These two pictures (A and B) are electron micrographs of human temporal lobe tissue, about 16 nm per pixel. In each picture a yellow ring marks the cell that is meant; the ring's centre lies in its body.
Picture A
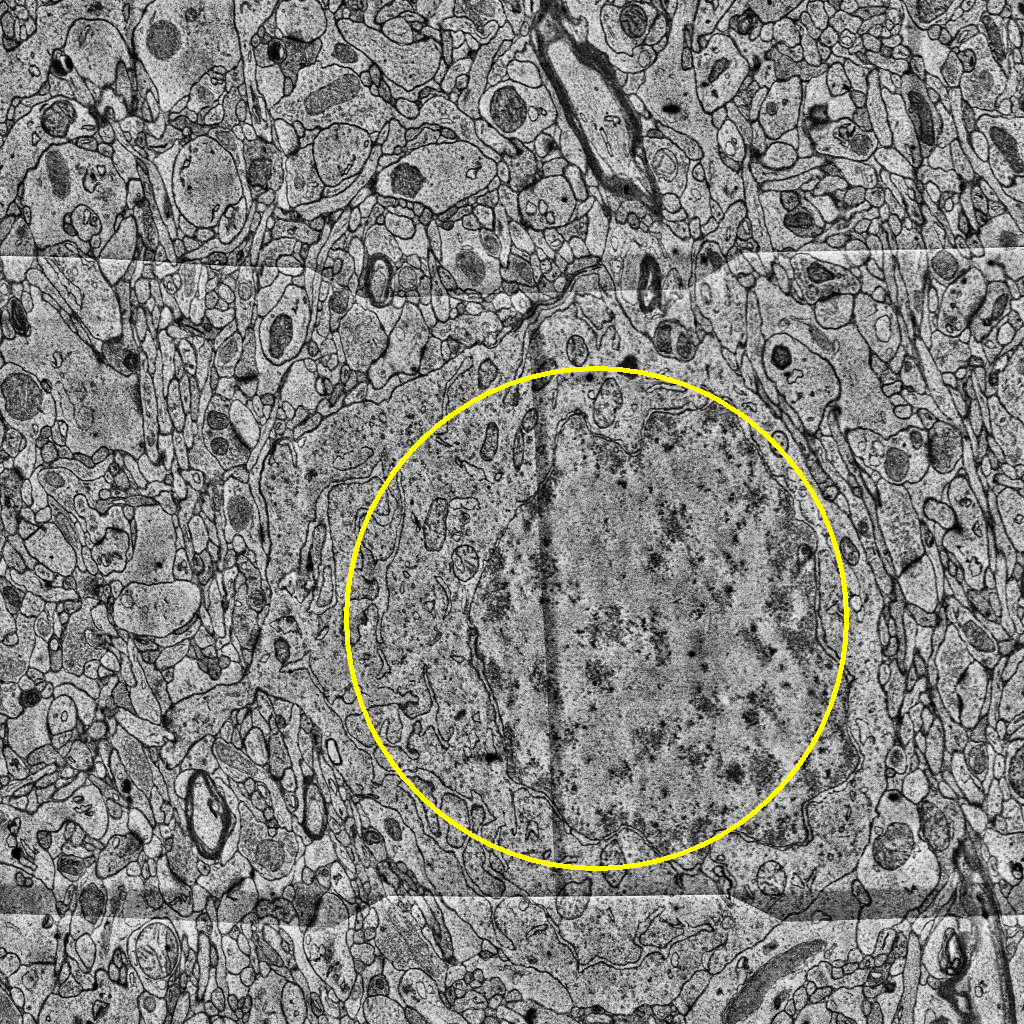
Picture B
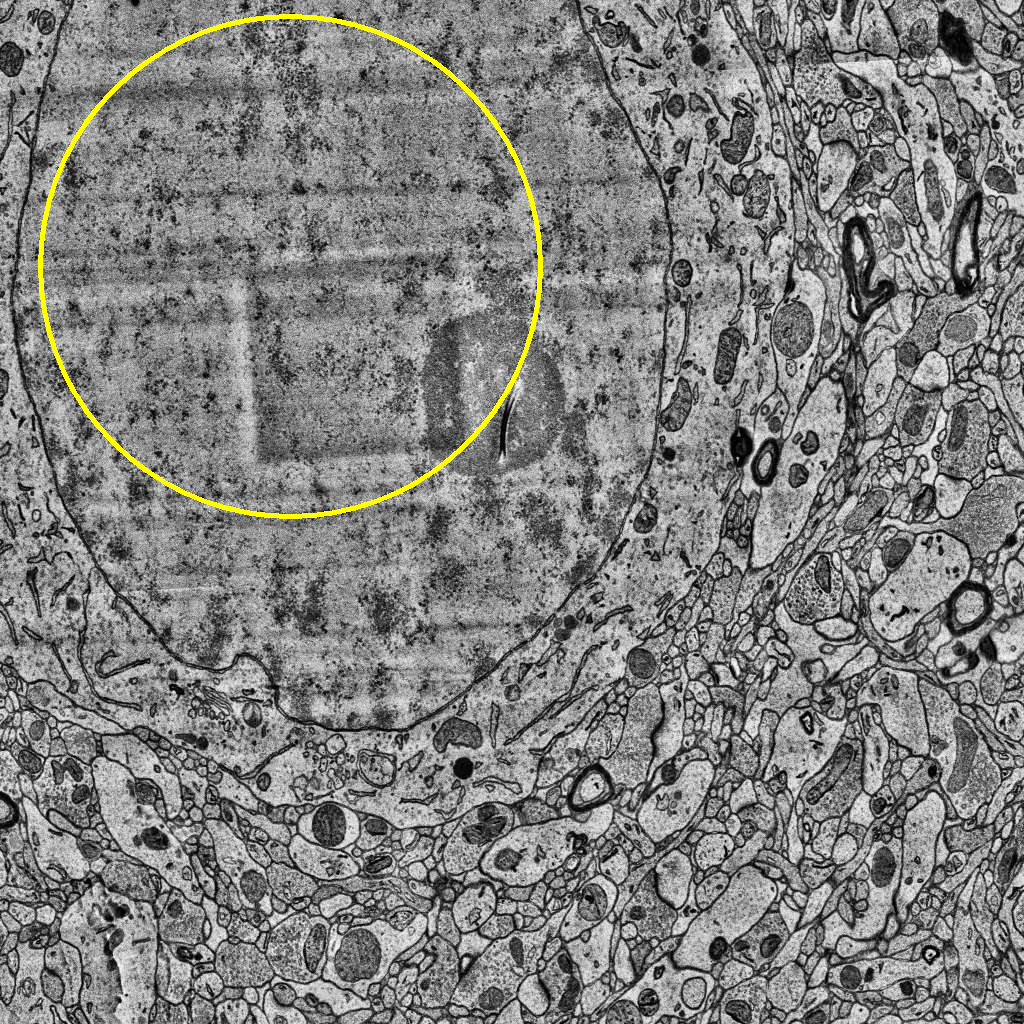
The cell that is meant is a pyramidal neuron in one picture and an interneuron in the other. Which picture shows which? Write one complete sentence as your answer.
It is picture A that shows an interneuron, and picture B that shows a pyramidal neuron.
